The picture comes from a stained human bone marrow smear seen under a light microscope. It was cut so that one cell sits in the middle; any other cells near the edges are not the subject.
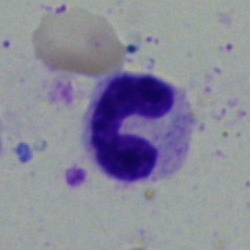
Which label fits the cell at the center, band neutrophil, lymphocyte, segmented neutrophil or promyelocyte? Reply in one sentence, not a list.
To answer, the cell in the center of the crop is a band neutrophil.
